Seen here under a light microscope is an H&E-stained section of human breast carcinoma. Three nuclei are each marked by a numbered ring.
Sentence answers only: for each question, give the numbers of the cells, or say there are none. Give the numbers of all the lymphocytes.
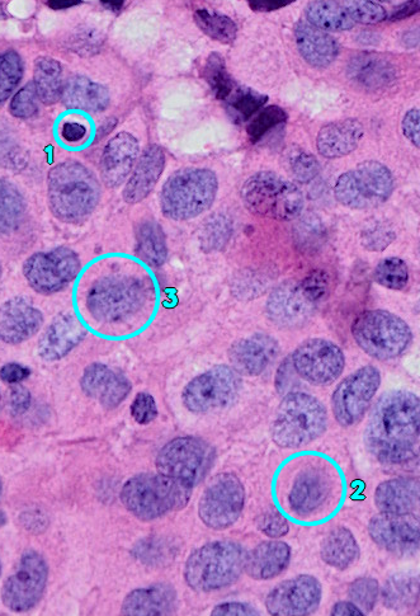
A single numbered cell, cell 1, is a lymphocyte.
